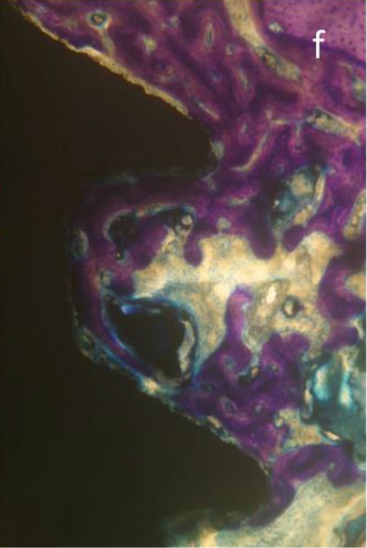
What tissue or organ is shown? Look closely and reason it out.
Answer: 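Purple-stained bone forms an interconnected network of strands beside the black implant thread. Pale spaces lie between the bony strands. On this evidence: Trabecular bone.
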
